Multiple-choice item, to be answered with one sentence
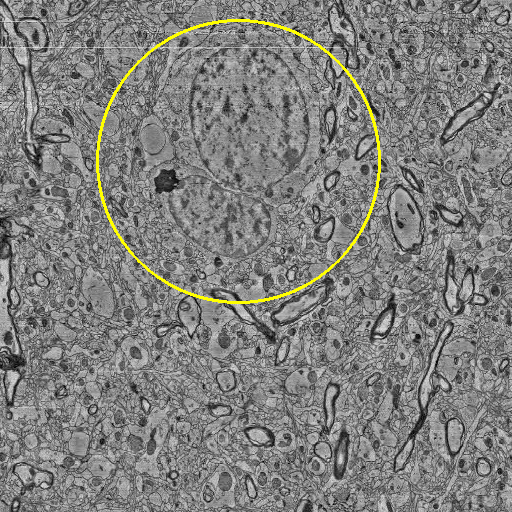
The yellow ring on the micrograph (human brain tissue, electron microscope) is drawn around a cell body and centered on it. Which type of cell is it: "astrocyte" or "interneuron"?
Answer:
The ring is centered on an interneuron.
